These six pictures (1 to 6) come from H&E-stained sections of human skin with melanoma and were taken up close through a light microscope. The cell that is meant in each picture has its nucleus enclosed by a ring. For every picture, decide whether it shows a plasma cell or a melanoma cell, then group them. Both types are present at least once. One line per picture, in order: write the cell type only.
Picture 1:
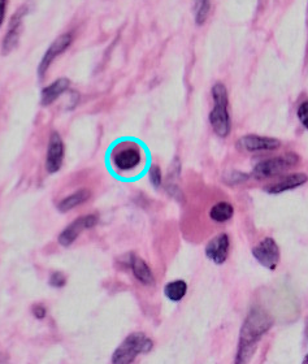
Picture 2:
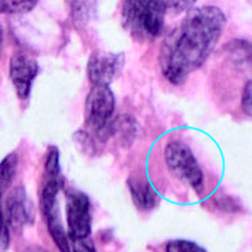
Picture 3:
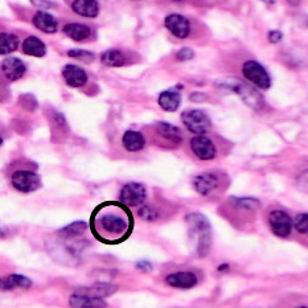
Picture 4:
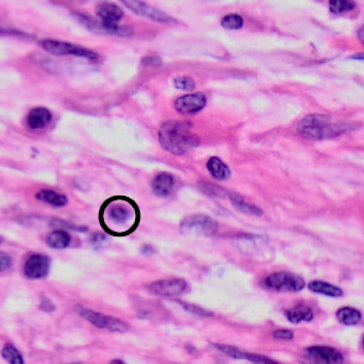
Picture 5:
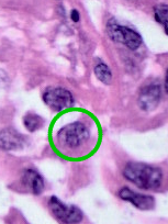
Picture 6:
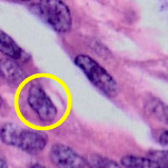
plasma cell
melanoma cell
plasma cell
plasma cell
melanoma cell
melanoma cell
